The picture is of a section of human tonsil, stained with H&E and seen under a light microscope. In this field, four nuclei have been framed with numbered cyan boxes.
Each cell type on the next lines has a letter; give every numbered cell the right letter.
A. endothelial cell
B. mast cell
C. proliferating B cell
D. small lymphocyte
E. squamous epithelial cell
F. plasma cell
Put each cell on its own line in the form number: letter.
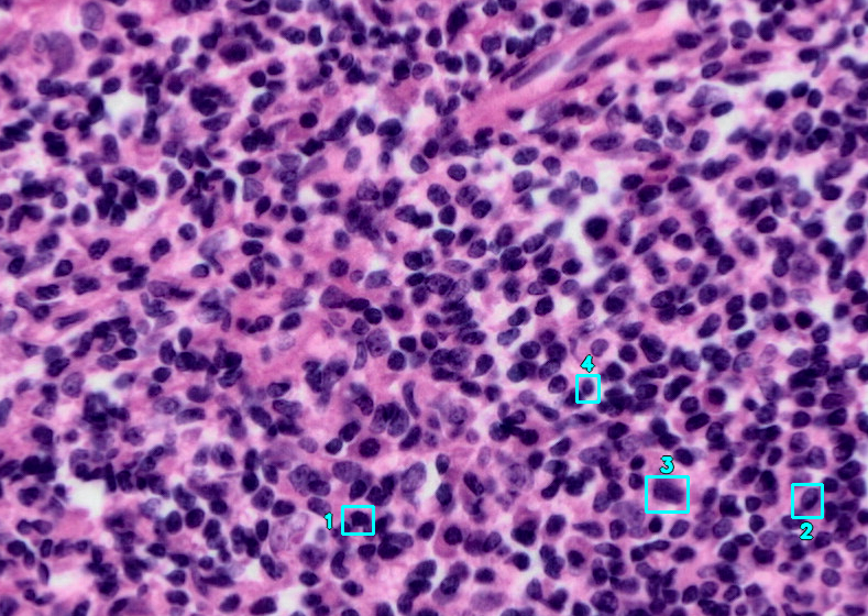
1: D
2: D
3: C
4: D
